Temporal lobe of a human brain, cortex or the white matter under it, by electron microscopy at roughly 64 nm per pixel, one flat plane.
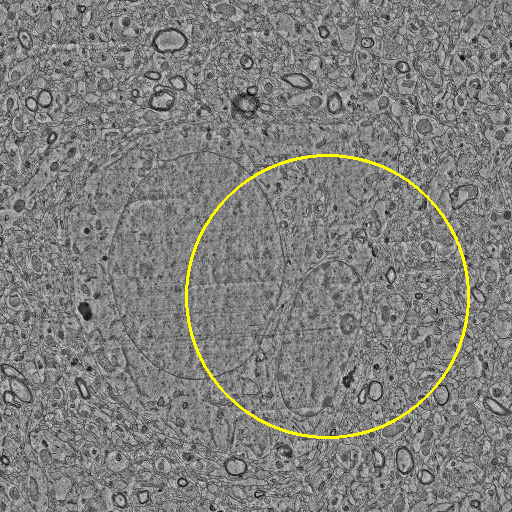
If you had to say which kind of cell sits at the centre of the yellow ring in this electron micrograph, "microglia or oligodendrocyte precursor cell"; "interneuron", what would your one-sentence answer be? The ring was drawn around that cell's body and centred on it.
The cell sitting at the centre of the ring is a microglial cell or oligodendrocyte precursor cell.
